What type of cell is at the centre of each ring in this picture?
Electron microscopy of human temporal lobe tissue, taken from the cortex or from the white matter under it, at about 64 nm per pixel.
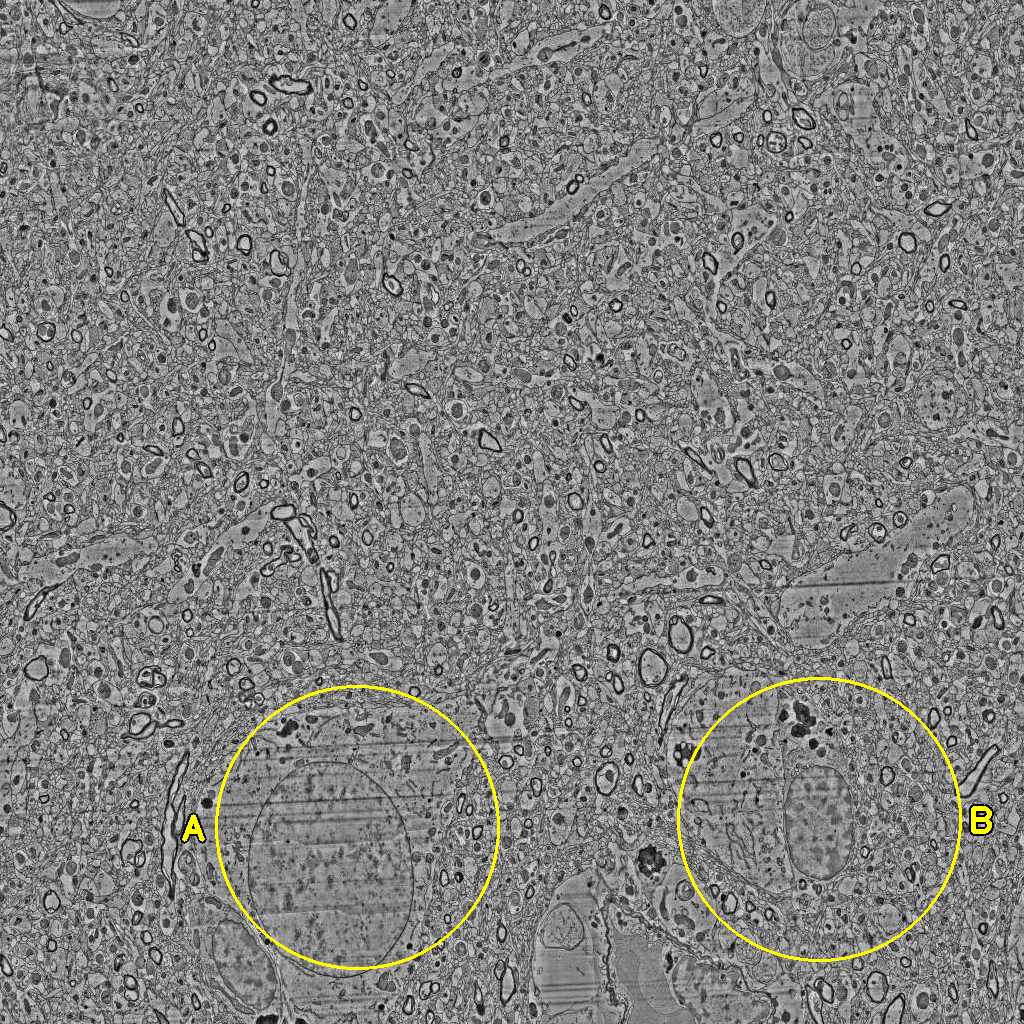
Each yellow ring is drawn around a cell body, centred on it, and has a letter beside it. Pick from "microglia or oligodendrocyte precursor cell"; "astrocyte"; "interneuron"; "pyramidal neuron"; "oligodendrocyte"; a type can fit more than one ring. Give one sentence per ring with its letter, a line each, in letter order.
The ring marked A is centred on a pyramidal neuron.
The ring marked B is centred on an oligodendrocyte.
